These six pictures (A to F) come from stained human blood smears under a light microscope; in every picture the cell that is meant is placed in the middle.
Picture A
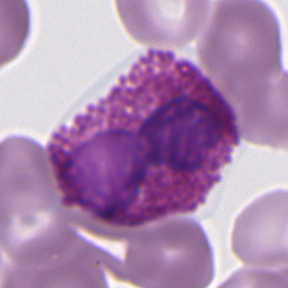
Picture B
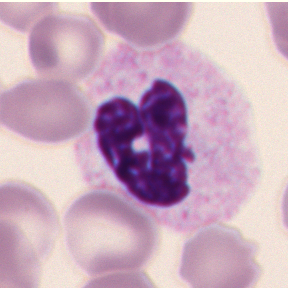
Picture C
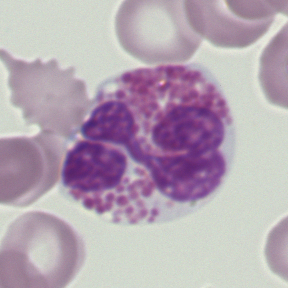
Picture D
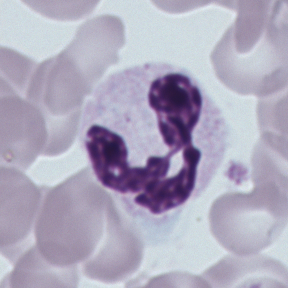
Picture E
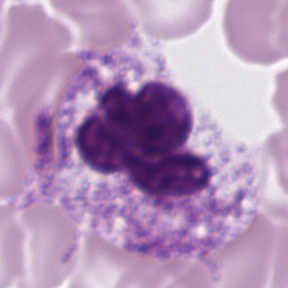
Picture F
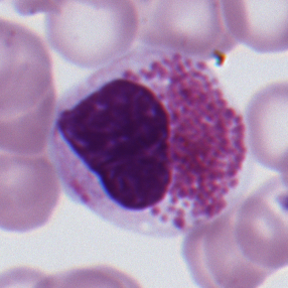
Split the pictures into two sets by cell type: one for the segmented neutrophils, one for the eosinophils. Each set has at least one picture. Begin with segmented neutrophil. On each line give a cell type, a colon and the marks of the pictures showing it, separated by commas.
segmented neutrophil: B, D, E
eosinophil: A, C, F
